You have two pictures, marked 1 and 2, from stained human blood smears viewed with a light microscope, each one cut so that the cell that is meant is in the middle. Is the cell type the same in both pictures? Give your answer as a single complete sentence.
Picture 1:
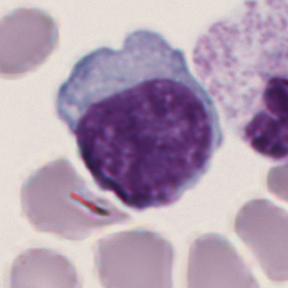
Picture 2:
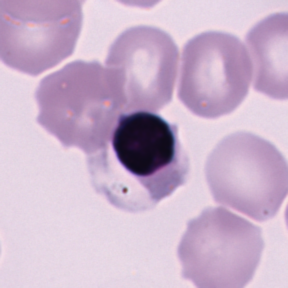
No, the types are not the same, since picture 1 shows a plasma cell and picture 2 a normoblast.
